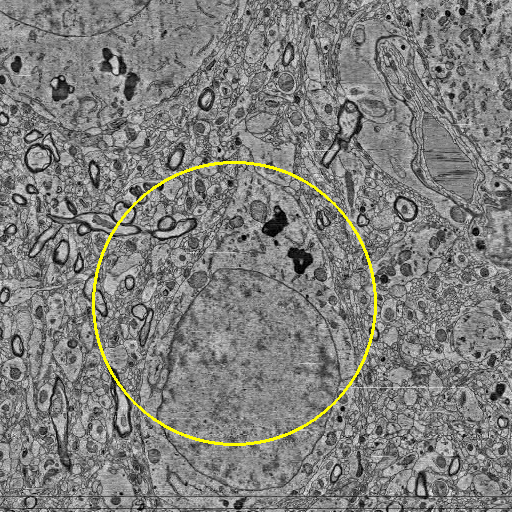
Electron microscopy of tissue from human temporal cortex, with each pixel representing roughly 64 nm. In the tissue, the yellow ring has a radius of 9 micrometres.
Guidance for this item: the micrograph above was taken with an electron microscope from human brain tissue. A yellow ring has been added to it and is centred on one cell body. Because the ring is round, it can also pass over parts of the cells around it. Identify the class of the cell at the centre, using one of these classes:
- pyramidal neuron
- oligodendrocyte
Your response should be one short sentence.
The ring surrounds the body of a pyramidal neuron.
